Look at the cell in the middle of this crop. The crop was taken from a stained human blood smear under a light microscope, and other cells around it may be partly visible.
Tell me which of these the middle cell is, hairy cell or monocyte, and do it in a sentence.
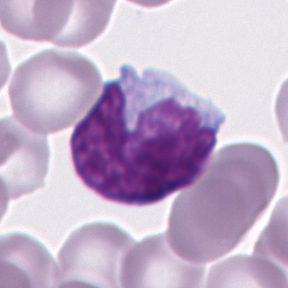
The middle of this crop holds a monocyte.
